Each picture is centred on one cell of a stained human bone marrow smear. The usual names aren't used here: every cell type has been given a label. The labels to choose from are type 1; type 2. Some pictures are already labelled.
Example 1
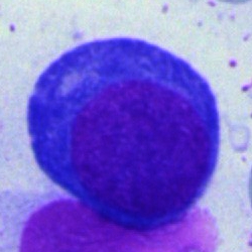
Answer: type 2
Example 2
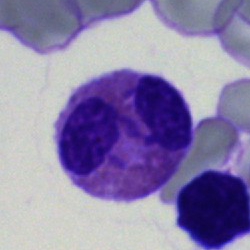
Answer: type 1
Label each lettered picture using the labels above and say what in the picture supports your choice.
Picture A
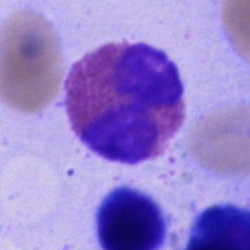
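type 1. Evidence: The cytoplasm is packed with reddish-pink granules.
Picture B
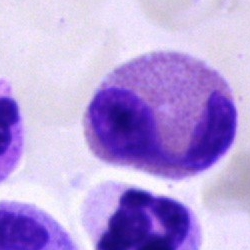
type 1. Evidence: The cytoplasm is abundant and pale lilac-pink.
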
